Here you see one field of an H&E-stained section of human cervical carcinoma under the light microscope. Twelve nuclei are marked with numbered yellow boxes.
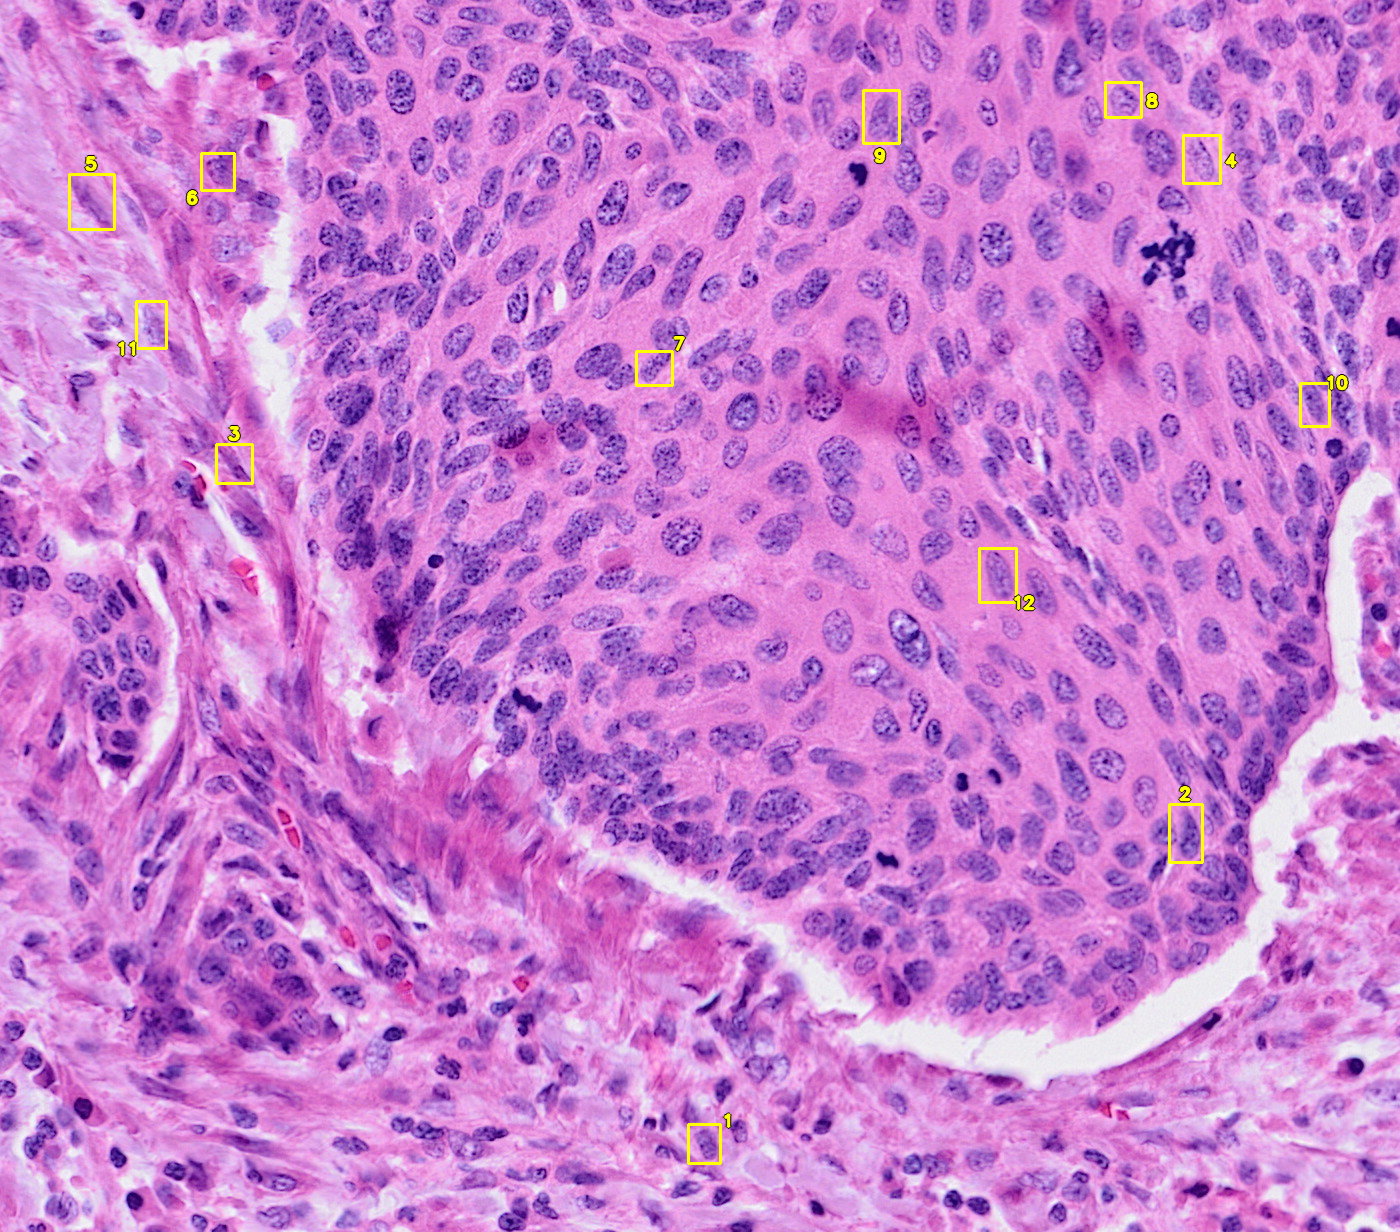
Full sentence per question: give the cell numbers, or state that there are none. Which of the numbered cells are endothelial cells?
Cell 6 is an endothelial cell; no further numbered cell is.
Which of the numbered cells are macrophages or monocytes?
Of the cells carrying numbers, just cell 1 is a macrophage or monocyte.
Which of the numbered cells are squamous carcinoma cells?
Cells numbered 2, 4, 7, 8, 9, 10 and 12 belong to the group of squamous carcinoma cells.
